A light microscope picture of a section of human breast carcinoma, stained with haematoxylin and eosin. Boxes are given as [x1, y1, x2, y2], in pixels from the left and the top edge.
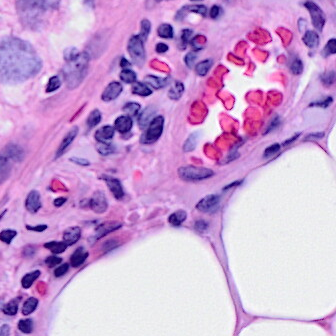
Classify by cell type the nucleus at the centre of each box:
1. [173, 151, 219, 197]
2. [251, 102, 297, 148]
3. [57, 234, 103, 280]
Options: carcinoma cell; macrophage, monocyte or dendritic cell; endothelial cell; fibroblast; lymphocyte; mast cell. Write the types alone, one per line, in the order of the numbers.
endothelial cell
endothelial cell
lymphocyte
